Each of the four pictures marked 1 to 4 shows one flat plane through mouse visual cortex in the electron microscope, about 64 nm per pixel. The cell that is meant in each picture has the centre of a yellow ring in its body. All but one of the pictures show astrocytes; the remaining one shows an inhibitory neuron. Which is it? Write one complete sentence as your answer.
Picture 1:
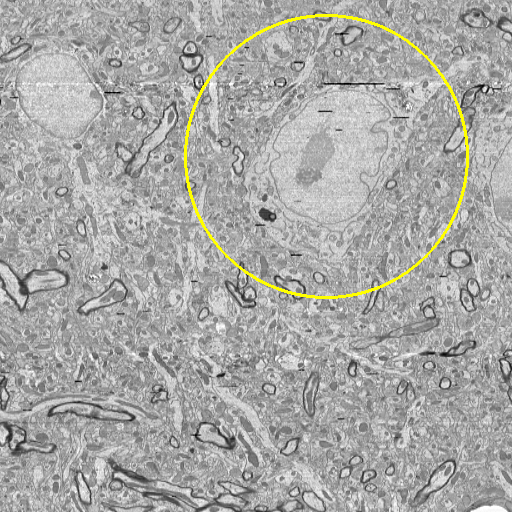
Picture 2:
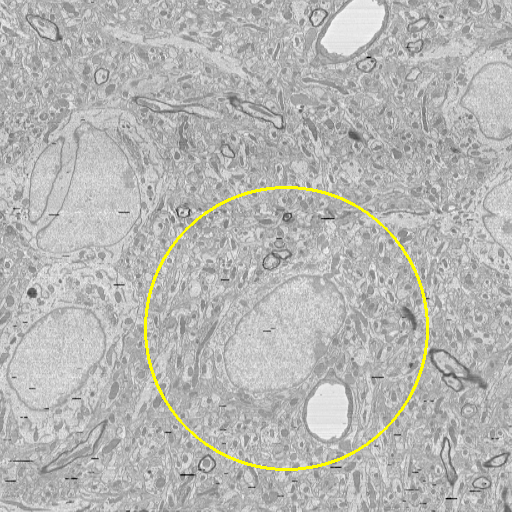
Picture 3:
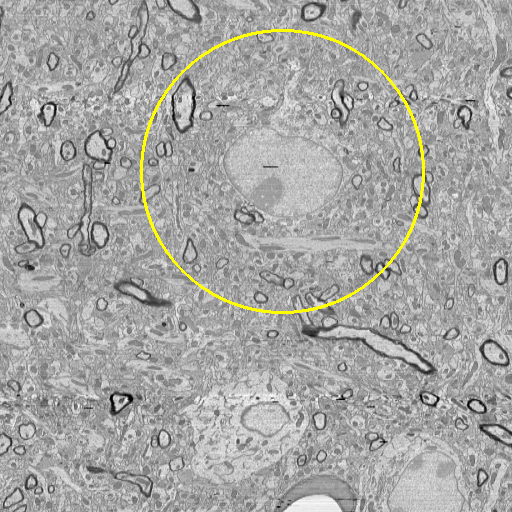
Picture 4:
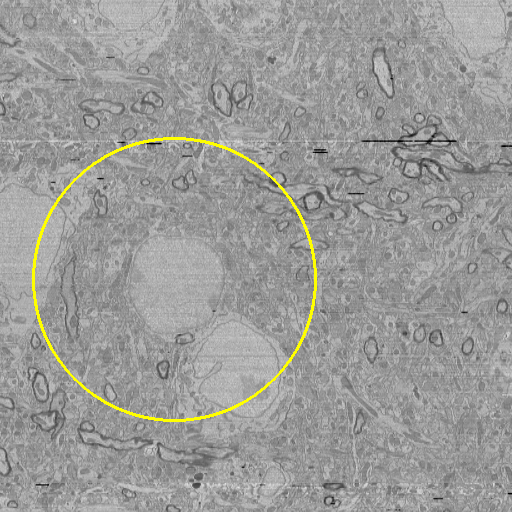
It is picture 1 that shows the inhibitory neuron.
